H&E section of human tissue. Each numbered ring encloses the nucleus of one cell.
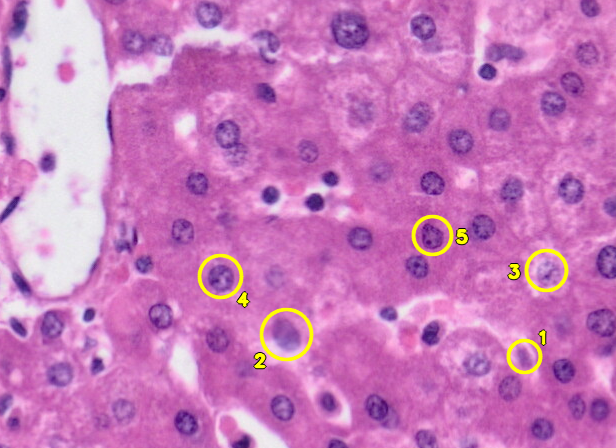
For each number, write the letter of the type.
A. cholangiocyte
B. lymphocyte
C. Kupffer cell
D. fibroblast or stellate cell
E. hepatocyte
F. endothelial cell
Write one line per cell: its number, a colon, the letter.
1: C
2: F
3: E
4: E
5: E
